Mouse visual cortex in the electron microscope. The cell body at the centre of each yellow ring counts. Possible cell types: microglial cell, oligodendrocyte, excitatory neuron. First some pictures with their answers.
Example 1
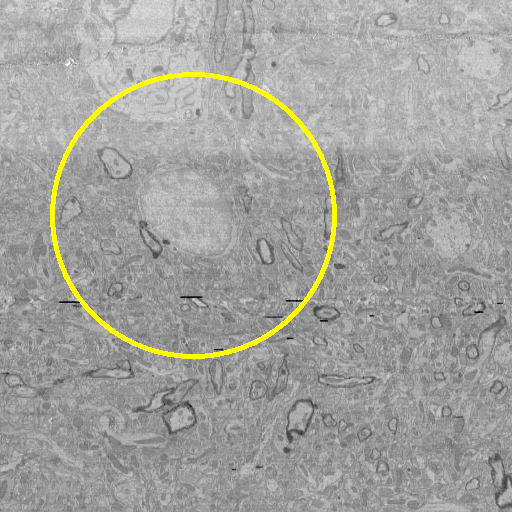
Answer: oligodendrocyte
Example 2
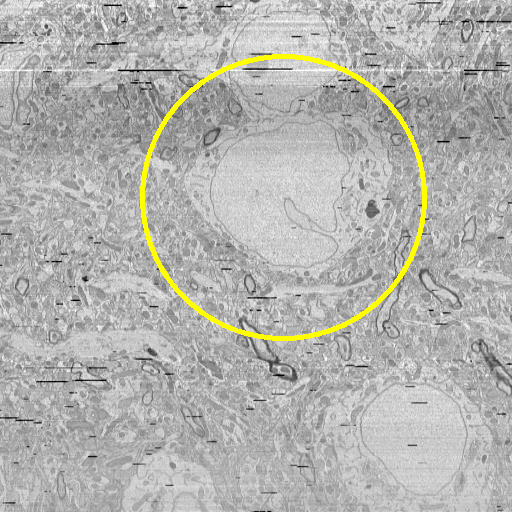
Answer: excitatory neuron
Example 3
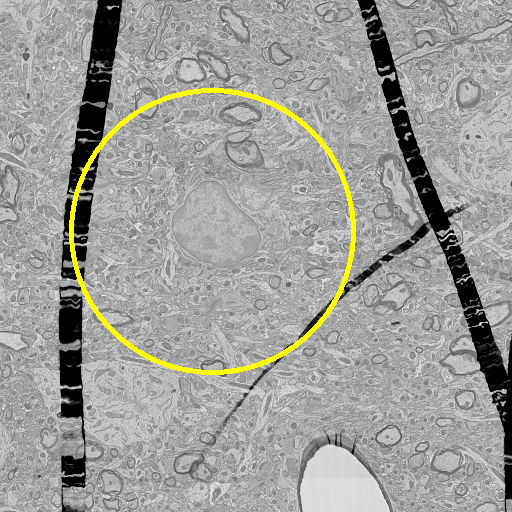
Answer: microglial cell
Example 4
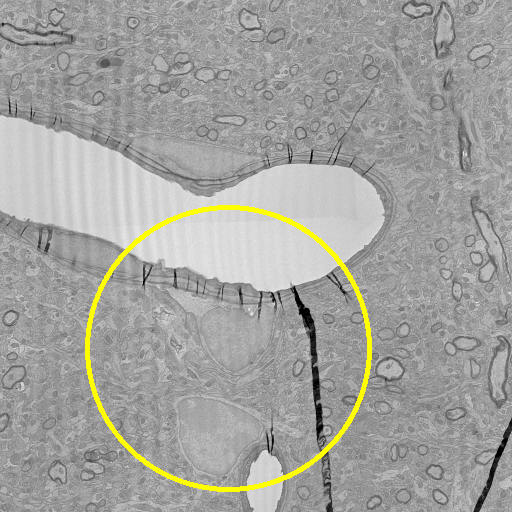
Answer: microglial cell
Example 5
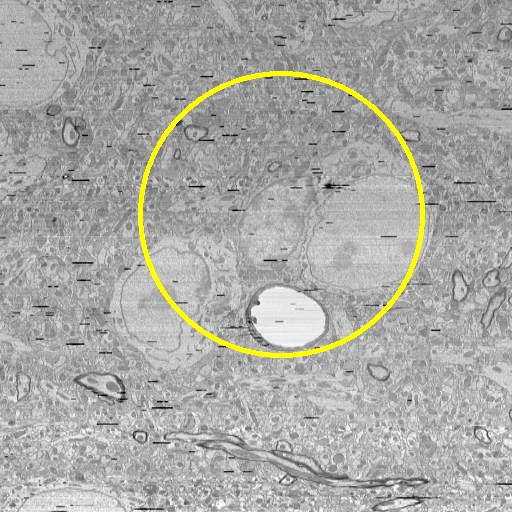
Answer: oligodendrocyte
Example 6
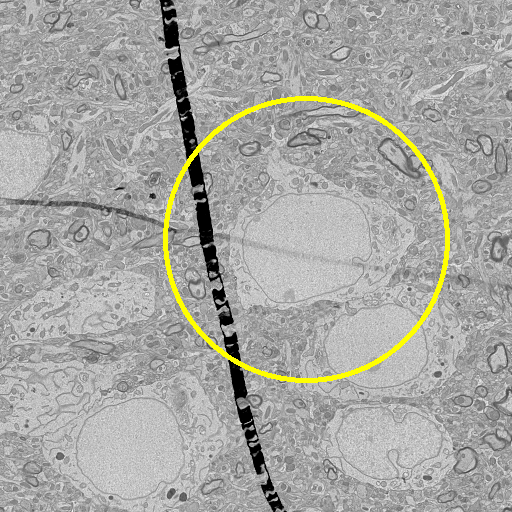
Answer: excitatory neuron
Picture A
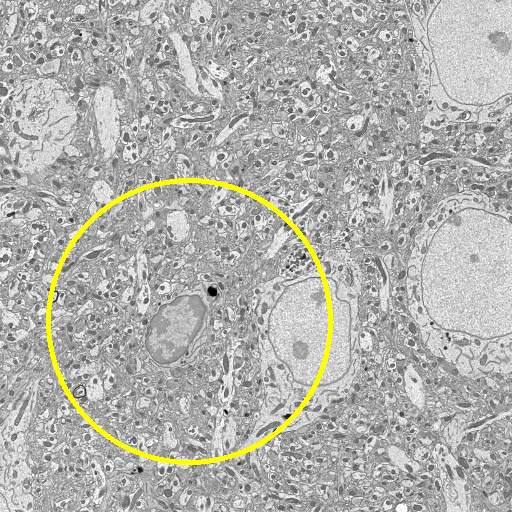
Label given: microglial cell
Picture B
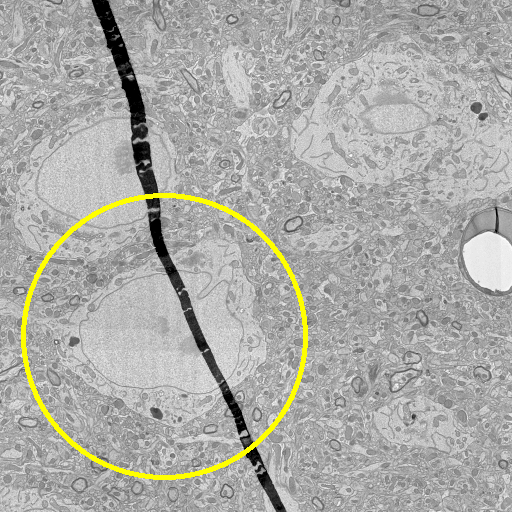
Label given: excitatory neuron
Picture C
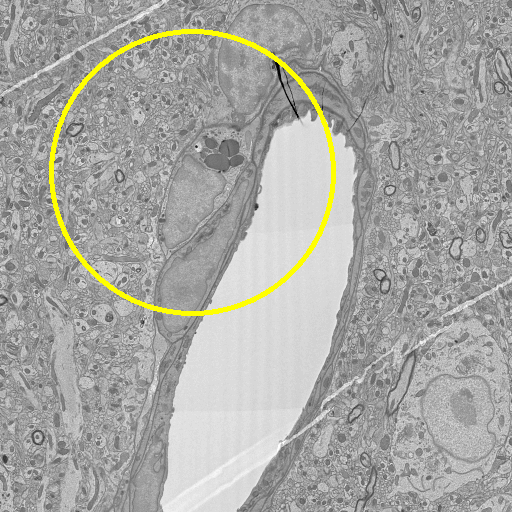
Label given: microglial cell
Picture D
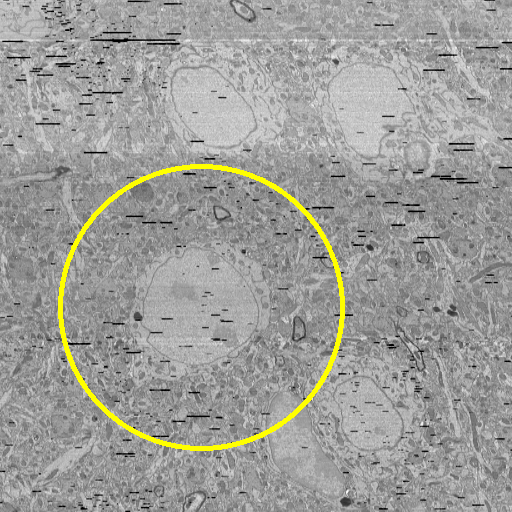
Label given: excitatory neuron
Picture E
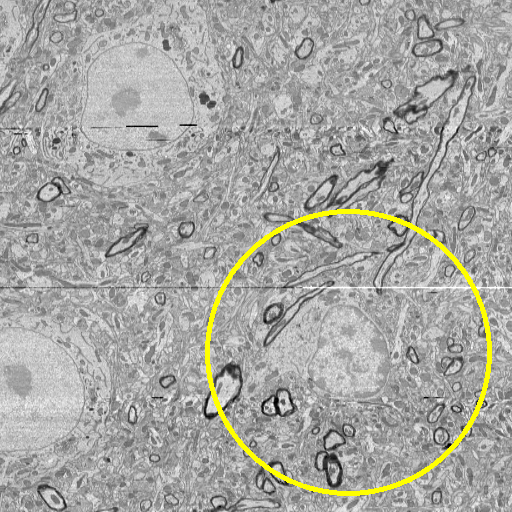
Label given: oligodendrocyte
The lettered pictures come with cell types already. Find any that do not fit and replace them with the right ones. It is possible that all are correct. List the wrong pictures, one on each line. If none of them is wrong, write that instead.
All labels are correct.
